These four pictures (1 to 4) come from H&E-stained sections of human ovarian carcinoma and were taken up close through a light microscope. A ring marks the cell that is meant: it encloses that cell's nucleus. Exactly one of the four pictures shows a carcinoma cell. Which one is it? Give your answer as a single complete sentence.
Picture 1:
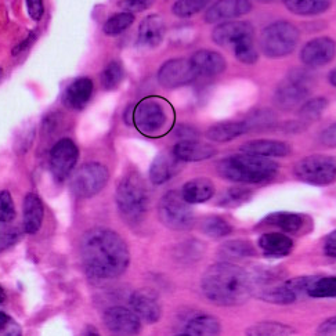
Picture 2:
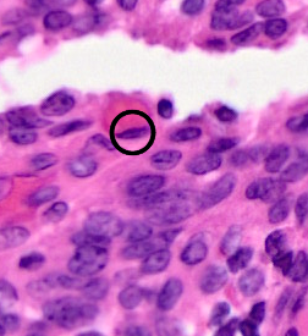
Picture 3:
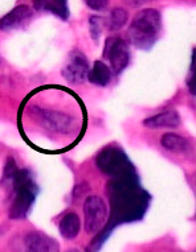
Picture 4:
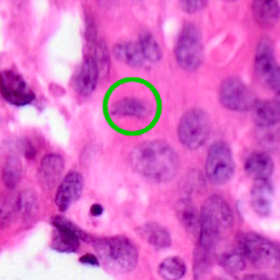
The carcinoma cell is the one in picture 1.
